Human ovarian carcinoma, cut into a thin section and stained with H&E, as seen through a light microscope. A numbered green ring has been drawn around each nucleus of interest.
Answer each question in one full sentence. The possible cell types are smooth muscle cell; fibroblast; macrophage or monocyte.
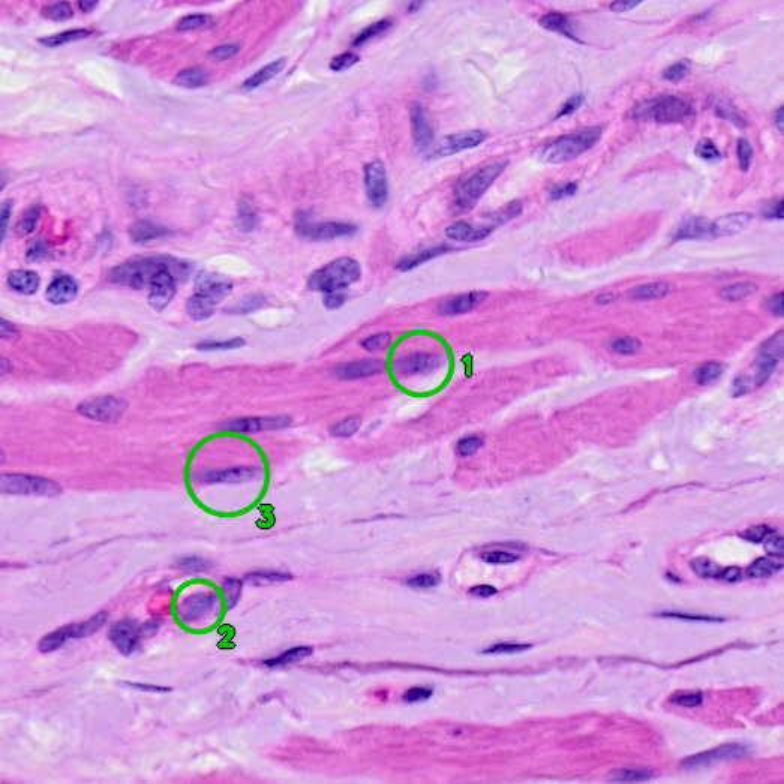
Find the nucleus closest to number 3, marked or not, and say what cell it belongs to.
The cell nearest to number 3 is a smooth muscle cell.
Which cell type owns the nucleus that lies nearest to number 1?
The nearest nucleus to number 1 belongs to a smooth muscle cell.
